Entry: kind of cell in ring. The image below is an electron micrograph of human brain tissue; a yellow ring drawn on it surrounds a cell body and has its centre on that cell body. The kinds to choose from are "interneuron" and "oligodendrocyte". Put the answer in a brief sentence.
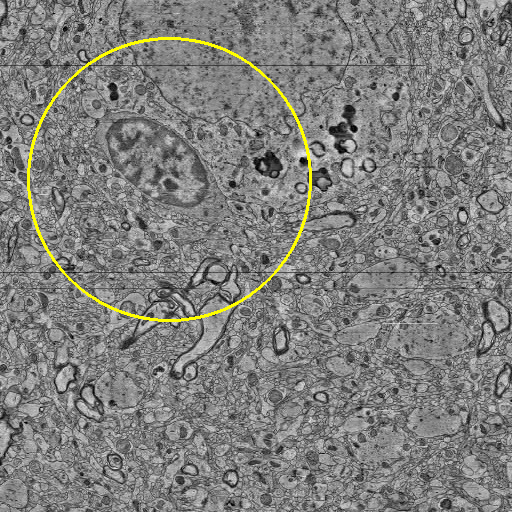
The ring has been drawn around an oligodendrocyte.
